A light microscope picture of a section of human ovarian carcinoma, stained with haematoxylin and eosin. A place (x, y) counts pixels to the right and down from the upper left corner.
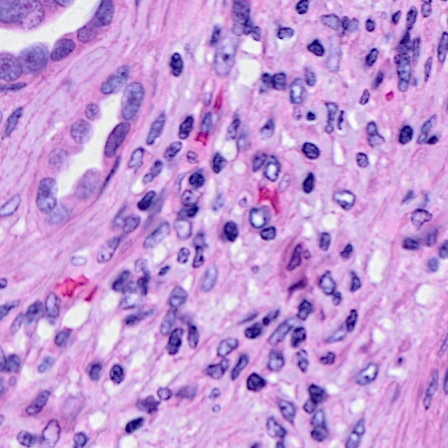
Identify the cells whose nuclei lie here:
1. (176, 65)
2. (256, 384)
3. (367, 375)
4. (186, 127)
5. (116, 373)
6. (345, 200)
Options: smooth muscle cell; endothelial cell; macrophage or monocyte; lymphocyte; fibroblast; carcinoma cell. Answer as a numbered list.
1. lymphocyte
2. lymphocyte
3. fibroblast
4. lymphocyte
5. lymphocyte
6. fibroblast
